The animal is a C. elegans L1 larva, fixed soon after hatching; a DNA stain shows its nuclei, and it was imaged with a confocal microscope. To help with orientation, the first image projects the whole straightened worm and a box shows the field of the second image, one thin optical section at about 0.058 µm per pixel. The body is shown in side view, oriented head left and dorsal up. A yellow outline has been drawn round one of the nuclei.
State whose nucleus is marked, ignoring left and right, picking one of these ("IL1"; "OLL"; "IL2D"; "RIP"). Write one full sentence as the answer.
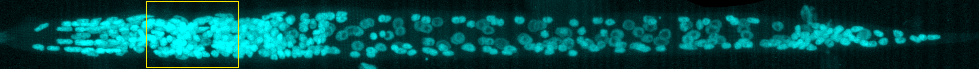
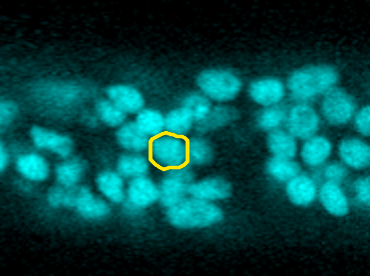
The marked cell is RIP, a neuron.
